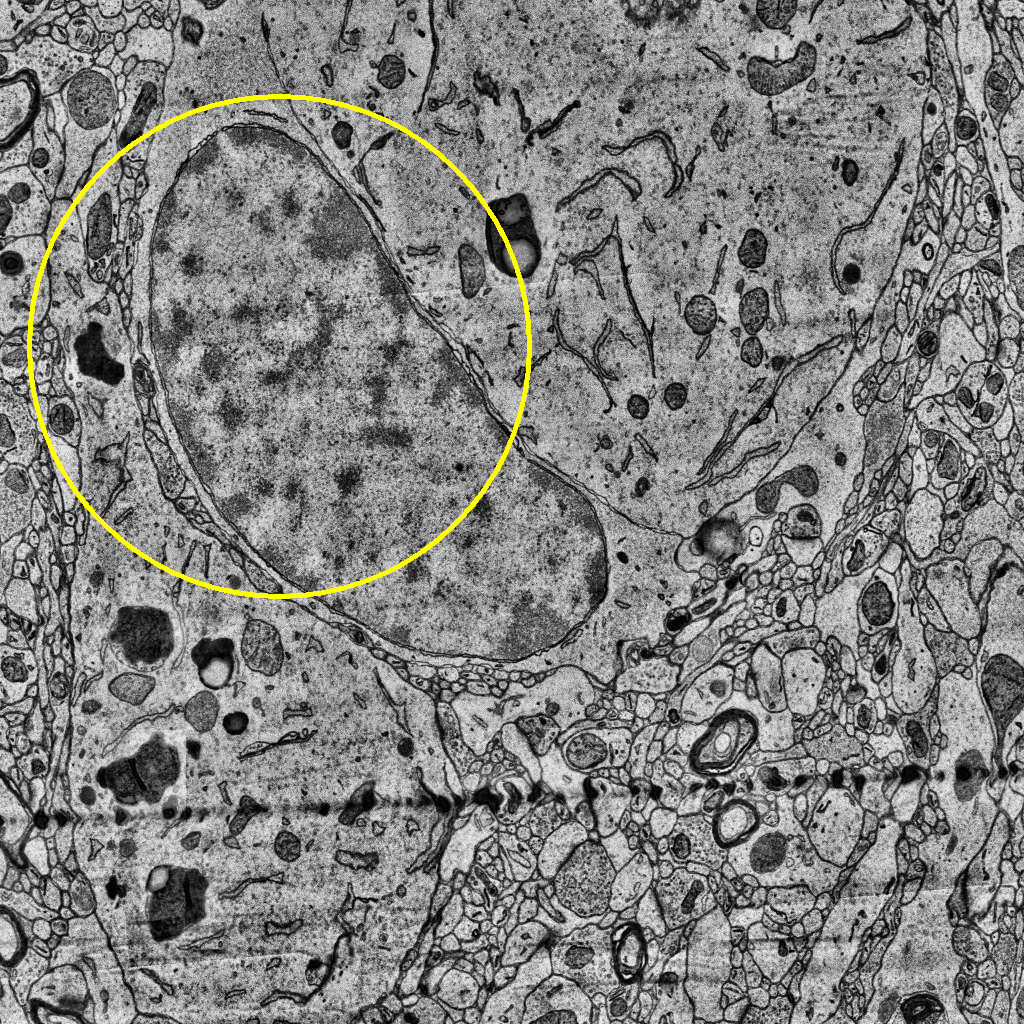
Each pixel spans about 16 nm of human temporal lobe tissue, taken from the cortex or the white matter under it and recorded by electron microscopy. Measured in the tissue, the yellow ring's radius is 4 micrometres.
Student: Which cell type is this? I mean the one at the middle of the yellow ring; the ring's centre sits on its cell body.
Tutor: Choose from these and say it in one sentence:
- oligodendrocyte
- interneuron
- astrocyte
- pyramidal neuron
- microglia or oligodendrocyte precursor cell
The cell at the ring's centre is a microglial cell or oligodendrocyte precursor cell.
